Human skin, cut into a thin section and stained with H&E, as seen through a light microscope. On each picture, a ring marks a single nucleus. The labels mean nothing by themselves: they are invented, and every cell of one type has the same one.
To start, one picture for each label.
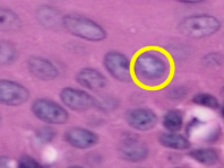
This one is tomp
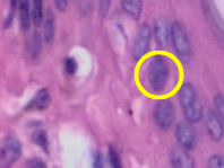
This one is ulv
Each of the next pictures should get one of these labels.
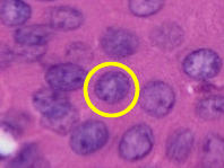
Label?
tomp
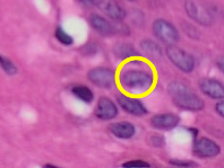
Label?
ulv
